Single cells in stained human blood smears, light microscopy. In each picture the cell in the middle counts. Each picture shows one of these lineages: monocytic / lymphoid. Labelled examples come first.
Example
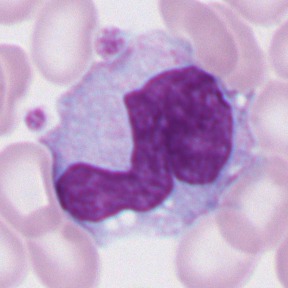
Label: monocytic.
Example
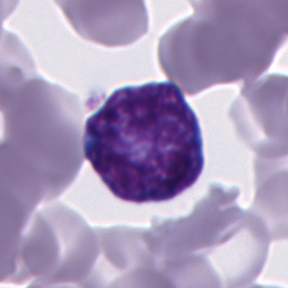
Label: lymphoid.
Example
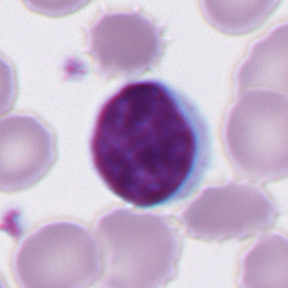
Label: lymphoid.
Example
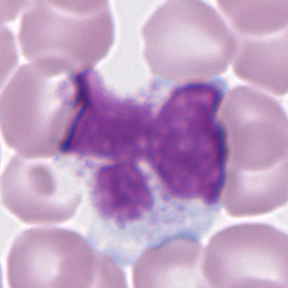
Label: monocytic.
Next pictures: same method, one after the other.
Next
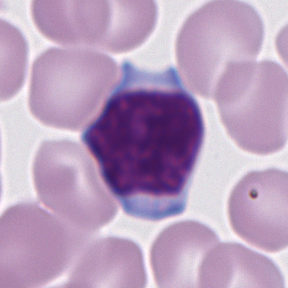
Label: lymphoid.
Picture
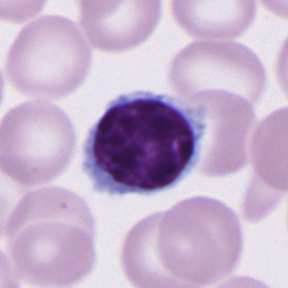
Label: lymphoid.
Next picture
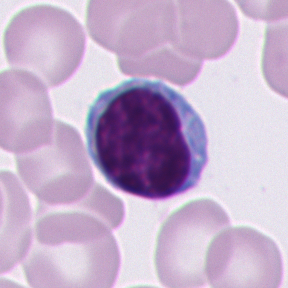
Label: lymphoid.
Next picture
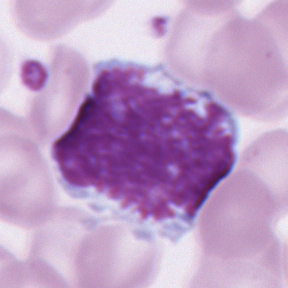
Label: monocytic.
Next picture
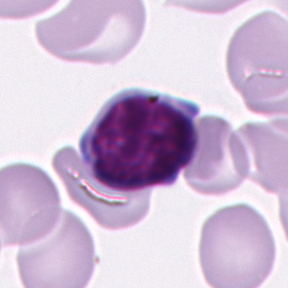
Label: lymphoid.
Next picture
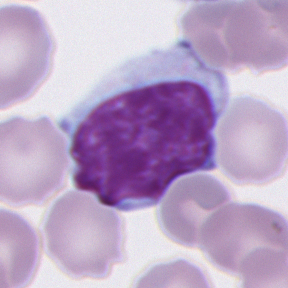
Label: lymphoid.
